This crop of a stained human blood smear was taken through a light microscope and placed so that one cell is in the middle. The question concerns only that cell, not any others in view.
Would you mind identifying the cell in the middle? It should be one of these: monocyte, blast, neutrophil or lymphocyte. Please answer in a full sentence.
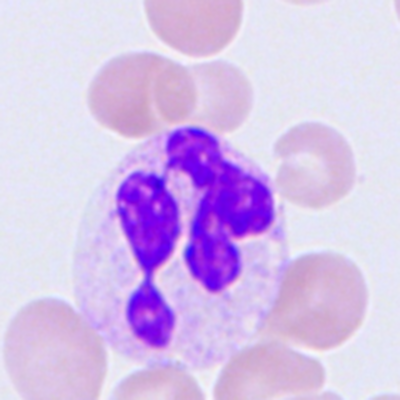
The cell centred in this crop is categorized as a neutrophil.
